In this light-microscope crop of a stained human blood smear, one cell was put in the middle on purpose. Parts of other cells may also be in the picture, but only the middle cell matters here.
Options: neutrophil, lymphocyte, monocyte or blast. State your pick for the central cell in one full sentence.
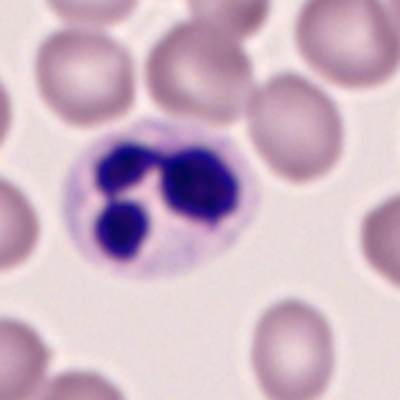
The center cell of this crop is a neutrophil.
